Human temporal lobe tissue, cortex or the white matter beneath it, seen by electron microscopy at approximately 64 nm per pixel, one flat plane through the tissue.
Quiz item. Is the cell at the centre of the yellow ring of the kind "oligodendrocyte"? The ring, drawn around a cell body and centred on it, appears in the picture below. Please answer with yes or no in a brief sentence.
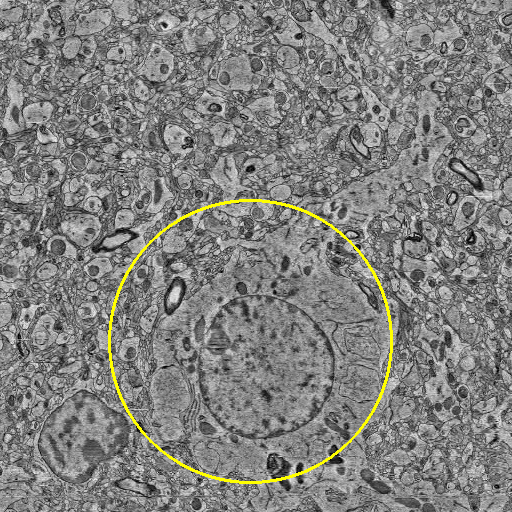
No, it is another kind of cell.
